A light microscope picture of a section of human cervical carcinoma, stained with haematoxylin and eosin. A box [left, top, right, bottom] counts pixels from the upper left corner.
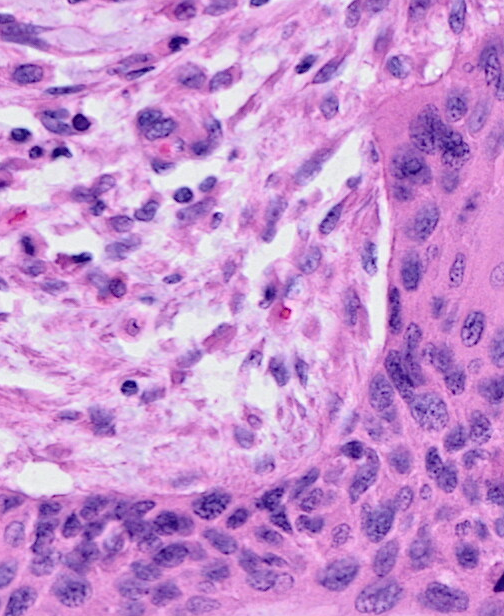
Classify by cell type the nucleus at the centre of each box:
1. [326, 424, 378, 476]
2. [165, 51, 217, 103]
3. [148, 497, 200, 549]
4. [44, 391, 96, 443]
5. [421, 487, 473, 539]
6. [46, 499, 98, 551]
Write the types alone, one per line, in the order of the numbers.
squamous carcinoma cell
macrophage or monocyte
squamous carcinoma cell
fibroblast
squamous carcinoma cell
squamous carcinoma cell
